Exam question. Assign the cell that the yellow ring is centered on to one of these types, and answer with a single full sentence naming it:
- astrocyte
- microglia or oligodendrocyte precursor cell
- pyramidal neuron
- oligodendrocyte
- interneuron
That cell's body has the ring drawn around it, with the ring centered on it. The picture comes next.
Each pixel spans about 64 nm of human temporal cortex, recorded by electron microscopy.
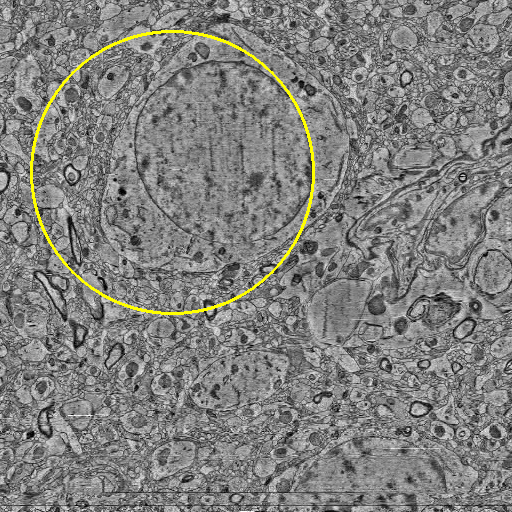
In the micrograph, the cell the yellow ring is centered on is a pyramidal neuron.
